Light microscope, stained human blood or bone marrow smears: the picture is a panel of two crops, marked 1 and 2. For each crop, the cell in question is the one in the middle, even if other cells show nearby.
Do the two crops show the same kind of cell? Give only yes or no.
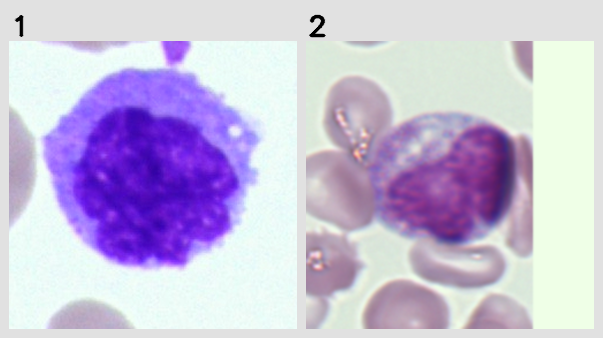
no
